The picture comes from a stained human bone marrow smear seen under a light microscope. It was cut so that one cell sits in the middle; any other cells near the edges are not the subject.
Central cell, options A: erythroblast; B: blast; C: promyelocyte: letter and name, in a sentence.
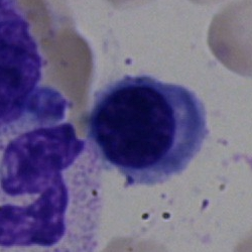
The central cell, an erythroblast, is correctly identified by option A.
